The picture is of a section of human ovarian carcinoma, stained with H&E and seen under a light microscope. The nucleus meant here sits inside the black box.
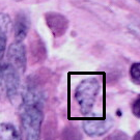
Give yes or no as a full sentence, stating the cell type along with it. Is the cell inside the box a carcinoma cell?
No, the cell inside the box is not a carcinoma cell but a macrophage or monocyte.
